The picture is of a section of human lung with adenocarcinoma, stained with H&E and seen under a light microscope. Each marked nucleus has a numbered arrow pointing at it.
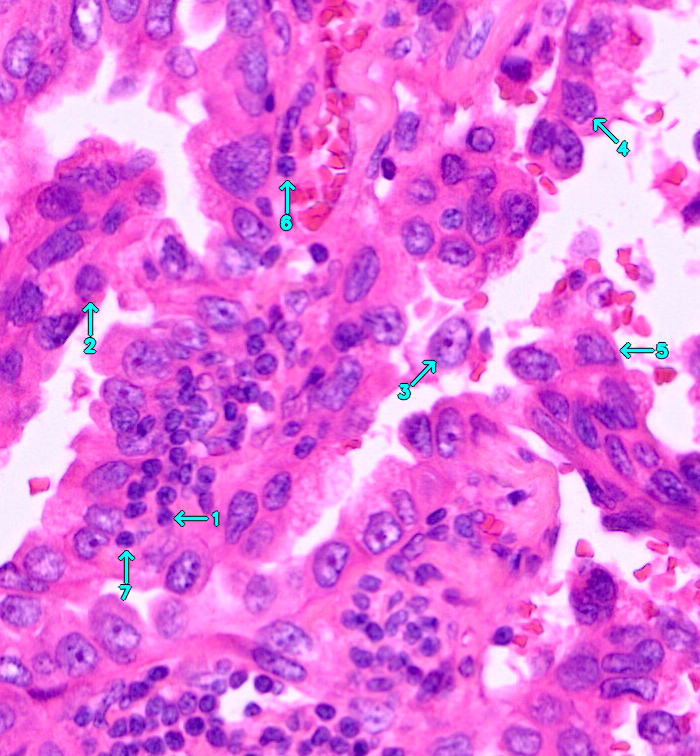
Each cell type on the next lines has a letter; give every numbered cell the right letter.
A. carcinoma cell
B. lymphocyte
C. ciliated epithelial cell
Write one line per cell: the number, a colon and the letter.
1: B
2: A
3: A
4: A
5: A
6: B
7: B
